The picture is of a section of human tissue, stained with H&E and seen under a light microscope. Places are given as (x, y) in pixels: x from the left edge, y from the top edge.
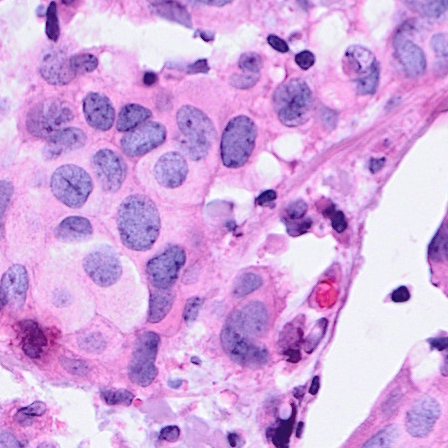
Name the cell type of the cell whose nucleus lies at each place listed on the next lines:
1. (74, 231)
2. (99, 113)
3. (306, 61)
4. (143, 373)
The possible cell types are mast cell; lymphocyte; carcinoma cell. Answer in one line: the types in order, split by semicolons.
carcinoma cell; carcinoma cell; lymphocyte; carcinoma cell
